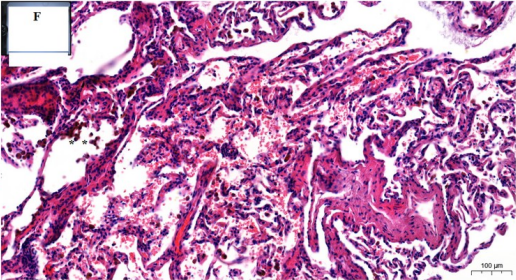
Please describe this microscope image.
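Thin pink septa lined by flattened cells outline open airspaces, with red blood cells in the septa and some spaces, and a thicker-walled vessel lies toward the lower right. In an airspace toward the upper left lie a few rounded cells filled with golden-brown granular pigment. This is lung parenchyma, and the pigment-filled cells are hemosiderin-laden macrophages.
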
